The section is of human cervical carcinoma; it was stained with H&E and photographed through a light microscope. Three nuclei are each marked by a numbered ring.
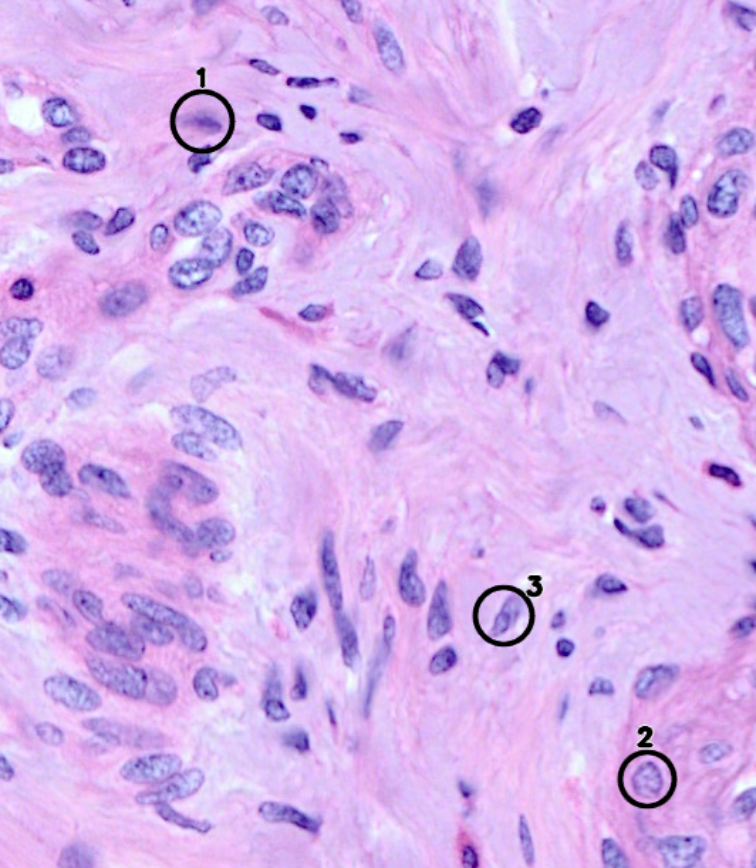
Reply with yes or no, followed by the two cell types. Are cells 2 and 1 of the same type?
No, cell 2 is a smooth muscle cell, with cell 1 being a fibroblast.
